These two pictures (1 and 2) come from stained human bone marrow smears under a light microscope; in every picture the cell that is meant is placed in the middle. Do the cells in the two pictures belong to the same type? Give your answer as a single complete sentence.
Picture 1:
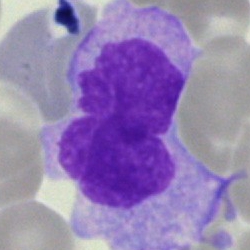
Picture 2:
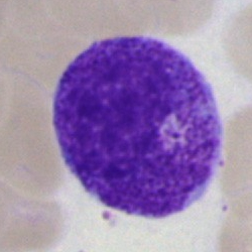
No, they differ: the cell is a monocyte in picture 1 and a promyelocyte in picture 2.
